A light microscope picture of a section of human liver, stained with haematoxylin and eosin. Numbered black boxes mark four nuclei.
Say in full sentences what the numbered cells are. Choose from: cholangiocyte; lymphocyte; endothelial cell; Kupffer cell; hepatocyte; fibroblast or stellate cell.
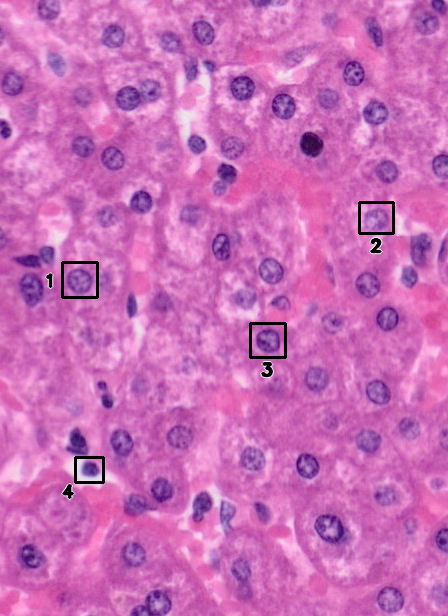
Cells 1, 2 and 3 are hepatocytes. Cell 4 is a lymphocyte.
